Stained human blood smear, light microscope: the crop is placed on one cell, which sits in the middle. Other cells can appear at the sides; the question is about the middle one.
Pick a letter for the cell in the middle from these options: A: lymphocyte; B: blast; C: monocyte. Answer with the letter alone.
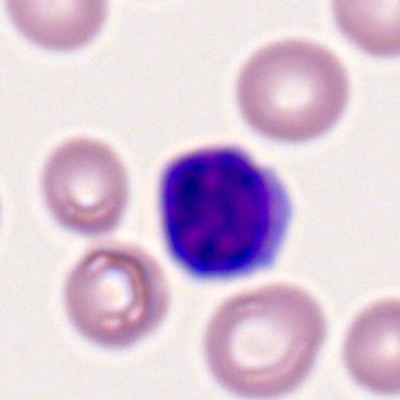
A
